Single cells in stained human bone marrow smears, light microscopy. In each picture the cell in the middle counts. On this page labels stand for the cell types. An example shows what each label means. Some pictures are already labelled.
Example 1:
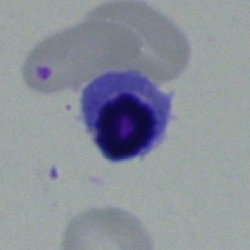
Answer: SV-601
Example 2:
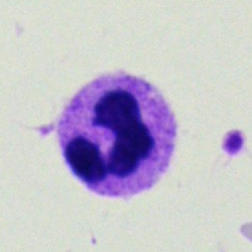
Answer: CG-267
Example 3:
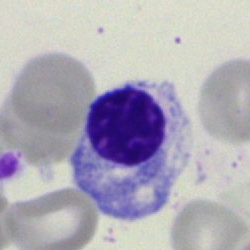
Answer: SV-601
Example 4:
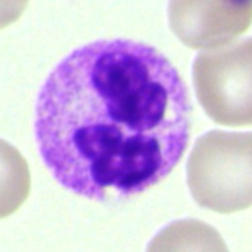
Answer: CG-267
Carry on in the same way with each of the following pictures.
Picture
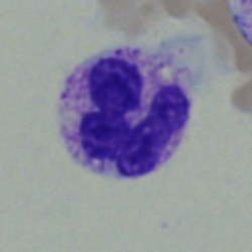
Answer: CG-267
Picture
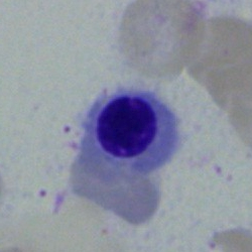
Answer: SV-601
